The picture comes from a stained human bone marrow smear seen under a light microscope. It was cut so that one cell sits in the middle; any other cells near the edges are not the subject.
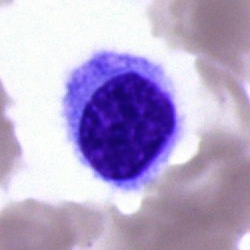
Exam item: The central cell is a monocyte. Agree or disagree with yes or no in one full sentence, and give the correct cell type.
No, the cell in the middle is categorised as a hairy cell, not a monocyte.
